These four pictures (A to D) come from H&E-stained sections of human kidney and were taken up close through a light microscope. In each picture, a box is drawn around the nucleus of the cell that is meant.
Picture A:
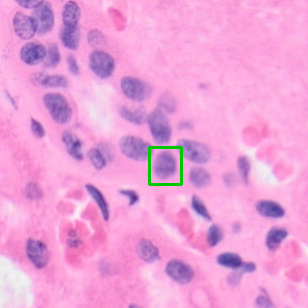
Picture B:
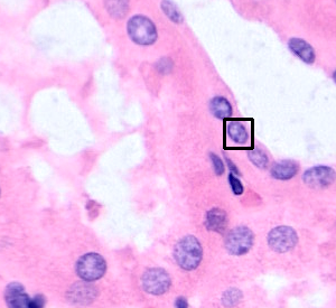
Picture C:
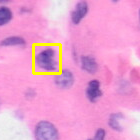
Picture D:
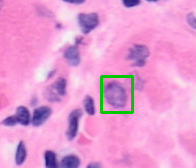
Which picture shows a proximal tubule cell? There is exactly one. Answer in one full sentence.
The cell in picture D is the proximal tubule cell.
